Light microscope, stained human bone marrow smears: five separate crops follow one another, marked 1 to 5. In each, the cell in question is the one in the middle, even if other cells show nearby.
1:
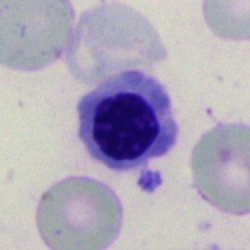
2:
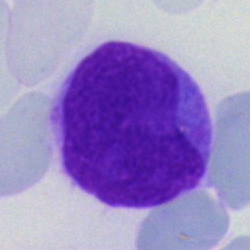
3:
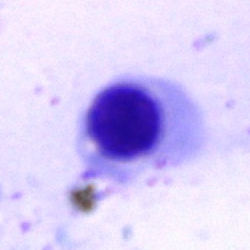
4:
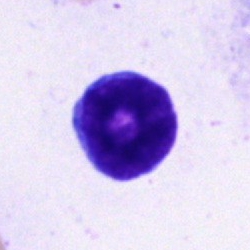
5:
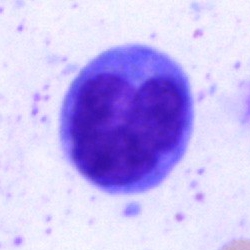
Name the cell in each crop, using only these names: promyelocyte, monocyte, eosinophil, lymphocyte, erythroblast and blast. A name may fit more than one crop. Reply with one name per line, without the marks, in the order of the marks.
erythroblast
blast
erythroblast
lymphocyte
monocyte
